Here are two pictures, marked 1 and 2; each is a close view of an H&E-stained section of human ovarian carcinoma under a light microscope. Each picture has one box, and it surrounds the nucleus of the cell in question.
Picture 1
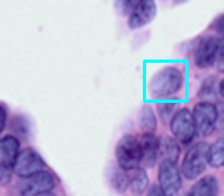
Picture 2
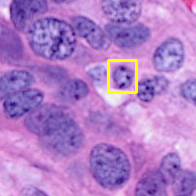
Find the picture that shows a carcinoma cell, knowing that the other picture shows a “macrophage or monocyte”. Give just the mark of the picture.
1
